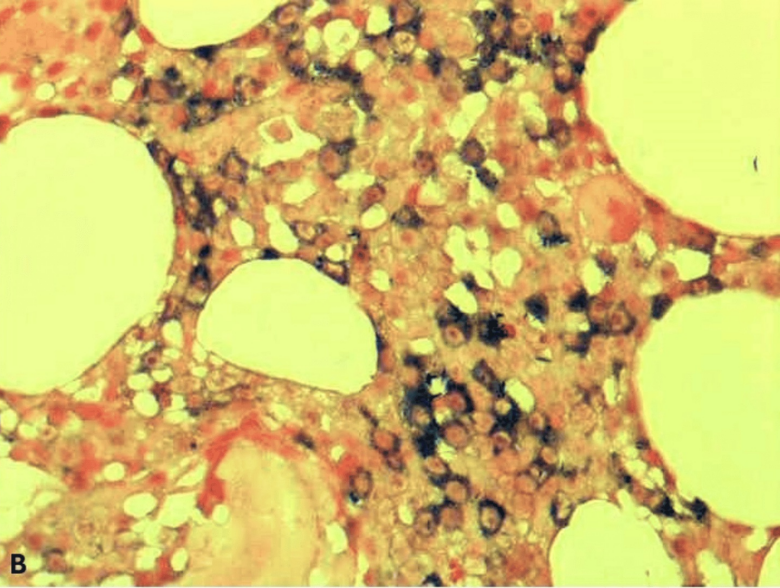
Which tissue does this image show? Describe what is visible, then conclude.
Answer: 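Large round empty fat spaces are scattered through the tissue. Densely packed small cells fill the spaces between the fat vacuoles. That points to this answer: bone marrow.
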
